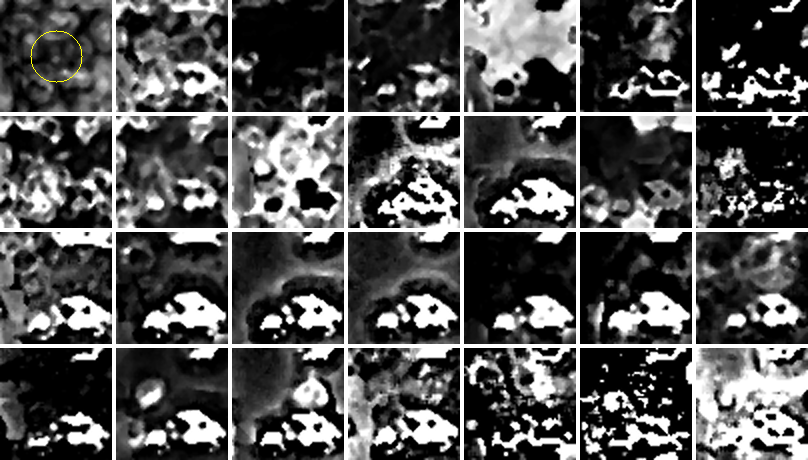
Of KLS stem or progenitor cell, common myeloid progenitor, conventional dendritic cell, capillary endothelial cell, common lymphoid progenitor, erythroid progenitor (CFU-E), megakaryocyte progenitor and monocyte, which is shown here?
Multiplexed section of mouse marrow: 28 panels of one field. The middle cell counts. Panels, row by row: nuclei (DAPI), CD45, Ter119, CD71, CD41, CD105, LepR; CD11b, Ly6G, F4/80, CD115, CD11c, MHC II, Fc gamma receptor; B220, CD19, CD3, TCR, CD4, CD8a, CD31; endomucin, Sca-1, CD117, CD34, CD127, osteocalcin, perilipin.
megakaryocyte progenitor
